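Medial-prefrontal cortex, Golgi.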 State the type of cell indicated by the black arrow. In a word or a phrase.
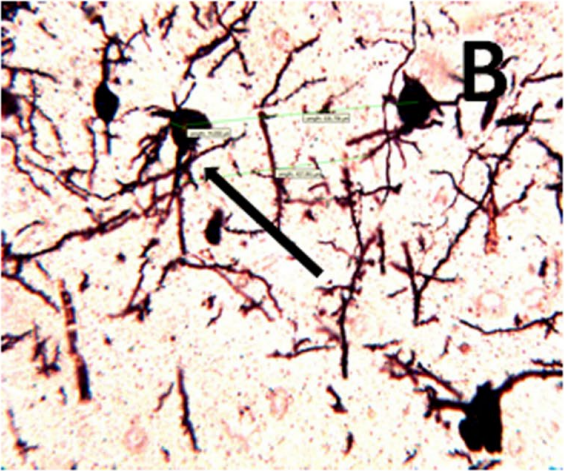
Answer: Nerve cells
